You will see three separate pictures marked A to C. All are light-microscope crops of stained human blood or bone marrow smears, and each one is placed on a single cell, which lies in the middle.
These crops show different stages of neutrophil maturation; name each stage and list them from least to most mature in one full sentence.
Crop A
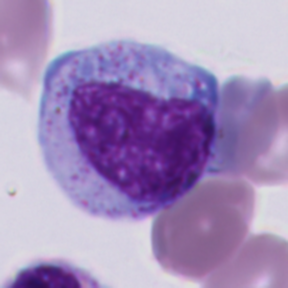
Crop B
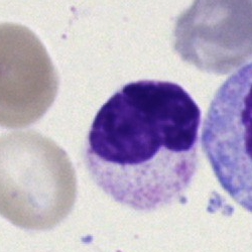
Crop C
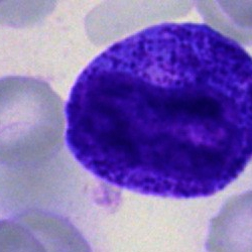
In ascending maturational order, the crops are crop A (a promyelocyte), crop C (a myelocyte) and crop B (a band neutrophil).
